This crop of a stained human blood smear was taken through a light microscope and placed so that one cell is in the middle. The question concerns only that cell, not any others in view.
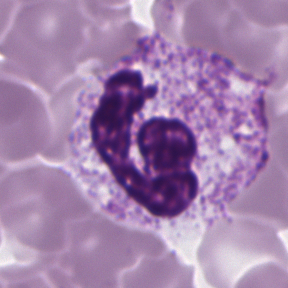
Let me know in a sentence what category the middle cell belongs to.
The cell sitting right in the middle is a neutrophil.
